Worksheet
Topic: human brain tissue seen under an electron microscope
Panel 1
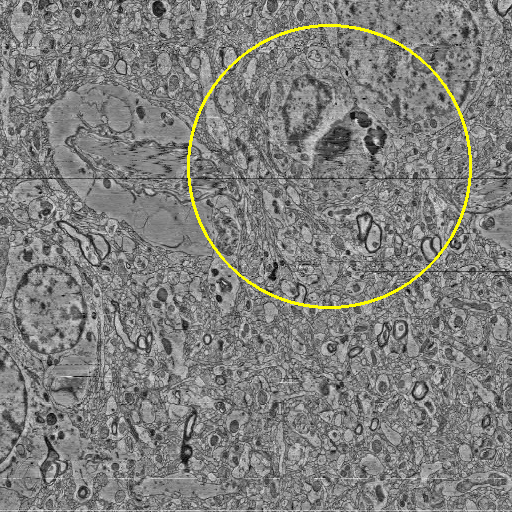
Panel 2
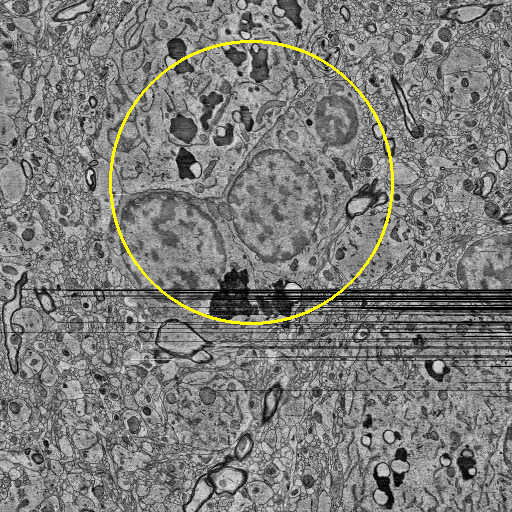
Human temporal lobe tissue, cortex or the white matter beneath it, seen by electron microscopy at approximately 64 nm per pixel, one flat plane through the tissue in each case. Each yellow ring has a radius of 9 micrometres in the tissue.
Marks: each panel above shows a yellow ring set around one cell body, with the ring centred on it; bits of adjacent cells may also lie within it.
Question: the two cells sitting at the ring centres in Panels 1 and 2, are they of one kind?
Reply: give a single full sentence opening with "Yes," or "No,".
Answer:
Yes, the two ring-centre cells in Panel 1 and Panel 2 are of one kind.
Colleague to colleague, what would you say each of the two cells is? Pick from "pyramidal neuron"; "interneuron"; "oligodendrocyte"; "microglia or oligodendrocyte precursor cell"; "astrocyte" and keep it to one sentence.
Each of the two cells is an oligodendrocyte.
